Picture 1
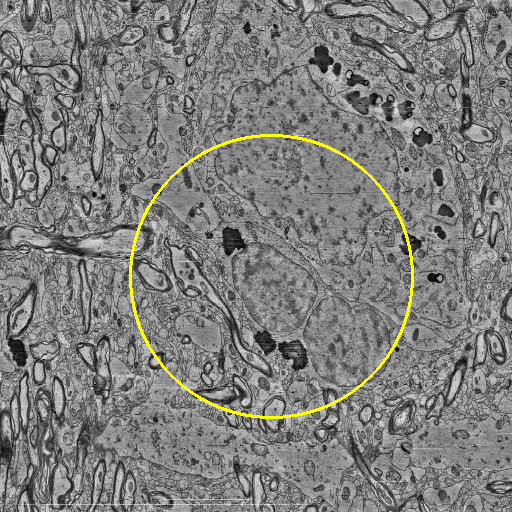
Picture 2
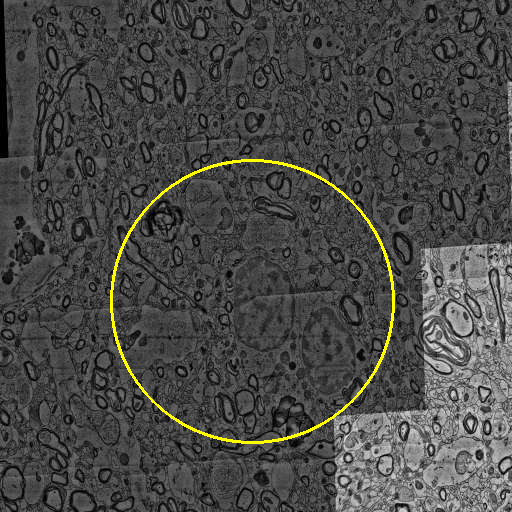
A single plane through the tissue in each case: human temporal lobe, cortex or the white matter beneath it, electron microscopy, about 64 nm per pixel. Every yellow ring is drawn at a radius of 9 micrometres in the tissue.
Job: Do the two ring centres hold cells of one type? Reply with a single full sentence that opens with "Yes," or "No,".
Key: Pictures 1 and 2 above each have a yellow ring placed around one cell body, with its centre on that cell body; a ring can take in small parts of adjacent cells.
Yes, the cells at the two ring centres are of one single type.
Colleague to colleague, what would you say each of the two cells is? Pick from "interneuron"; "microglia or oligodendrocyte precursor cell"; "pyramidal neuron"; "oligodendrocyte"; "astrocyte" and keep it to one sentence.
In each of the two pictures, the ringed cell is an oligodendrocyte.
